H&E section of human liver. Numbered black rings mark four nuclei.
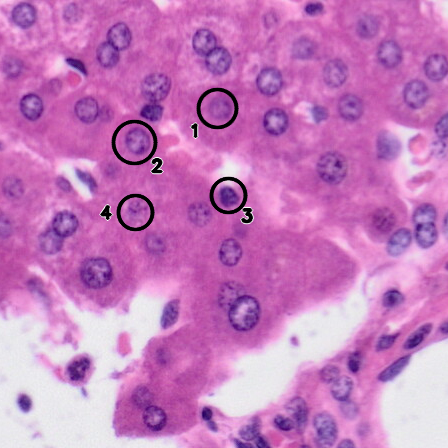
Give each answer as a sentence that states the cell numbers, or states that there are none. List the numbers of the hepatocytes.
The cells marked 1, 2 and 4 in the section are hepatocytes.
